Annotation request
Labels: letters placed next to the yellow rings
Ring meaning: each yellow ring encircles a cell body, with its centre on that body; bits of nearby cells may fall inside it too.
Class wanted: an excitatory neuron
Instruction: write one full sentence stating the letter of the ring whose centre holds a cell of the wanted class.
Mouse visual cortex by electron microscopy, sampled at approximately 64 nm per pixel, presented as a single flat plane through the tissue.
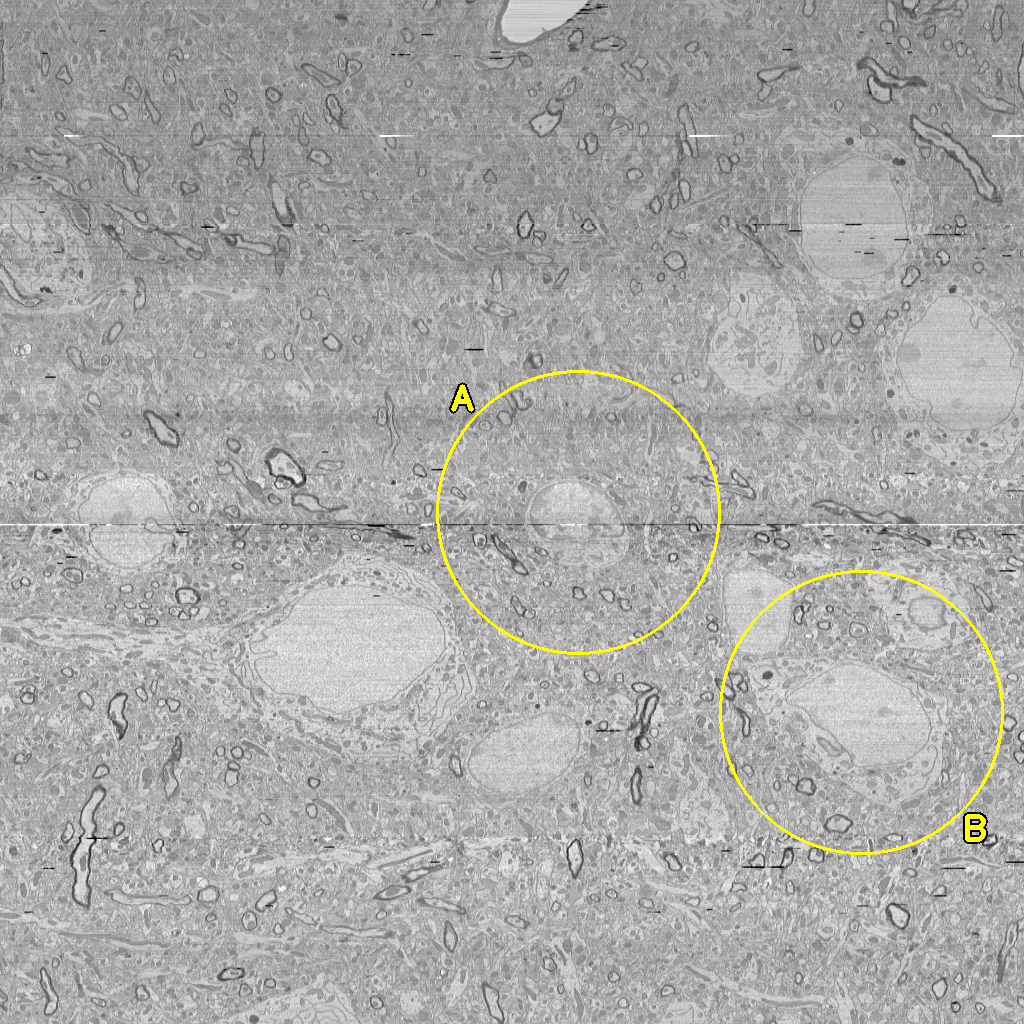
For this annotation, a cell of that kind sits at the centre of ring B.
